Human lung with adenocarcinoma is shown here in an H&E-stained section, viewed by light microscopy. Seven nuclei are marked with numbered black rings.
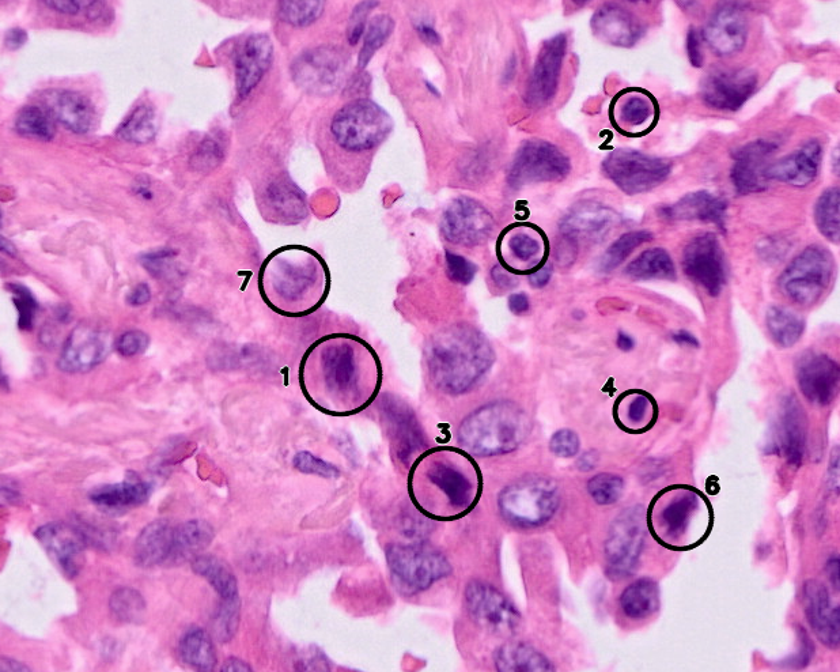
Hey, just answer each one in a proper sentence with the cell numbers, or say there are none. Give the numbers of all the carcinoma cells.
On this slide, the cells numbered 1, 3, 6 and 7 are carcinoma cells.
